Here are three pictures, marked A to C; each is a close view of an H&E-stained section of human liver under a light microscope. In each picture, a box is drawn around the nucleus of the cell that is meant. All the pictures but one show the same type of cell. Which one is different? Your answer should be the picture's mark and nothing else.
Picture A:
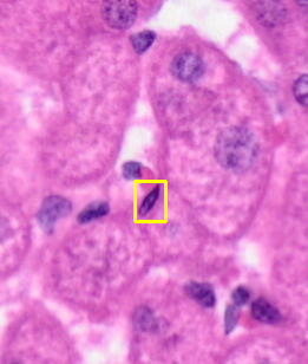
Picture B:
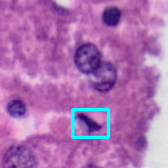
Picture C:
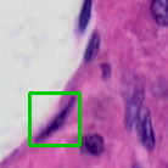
B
